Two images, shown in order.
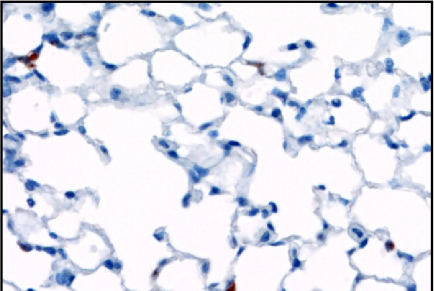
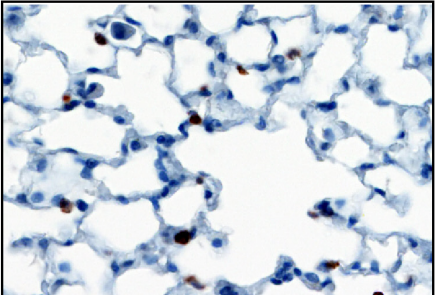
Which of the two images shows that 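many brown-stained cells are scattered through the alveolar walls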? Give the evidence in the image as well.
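Second image: numerous small round brown-stained cells throughout the septa.
Answer: the second image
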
